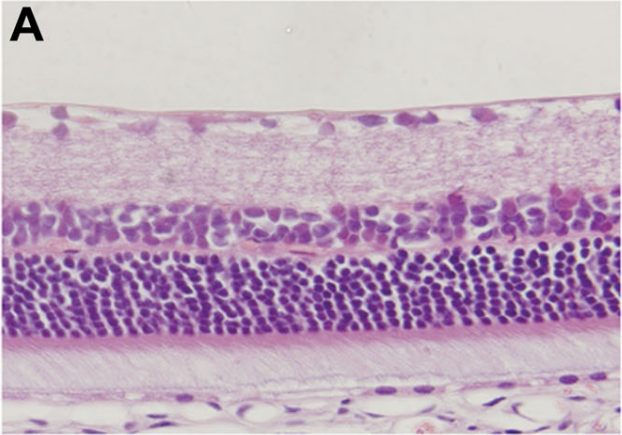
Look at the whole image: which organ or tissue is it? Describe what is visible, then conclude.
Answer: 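Stacked layers of densely packed purple nuclei separated by a pale pink fibrous layer. A sparse row of larger cells lies along the top surface. A pale striated band lies beneath the thickest nuclear layer.
Retinas.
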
